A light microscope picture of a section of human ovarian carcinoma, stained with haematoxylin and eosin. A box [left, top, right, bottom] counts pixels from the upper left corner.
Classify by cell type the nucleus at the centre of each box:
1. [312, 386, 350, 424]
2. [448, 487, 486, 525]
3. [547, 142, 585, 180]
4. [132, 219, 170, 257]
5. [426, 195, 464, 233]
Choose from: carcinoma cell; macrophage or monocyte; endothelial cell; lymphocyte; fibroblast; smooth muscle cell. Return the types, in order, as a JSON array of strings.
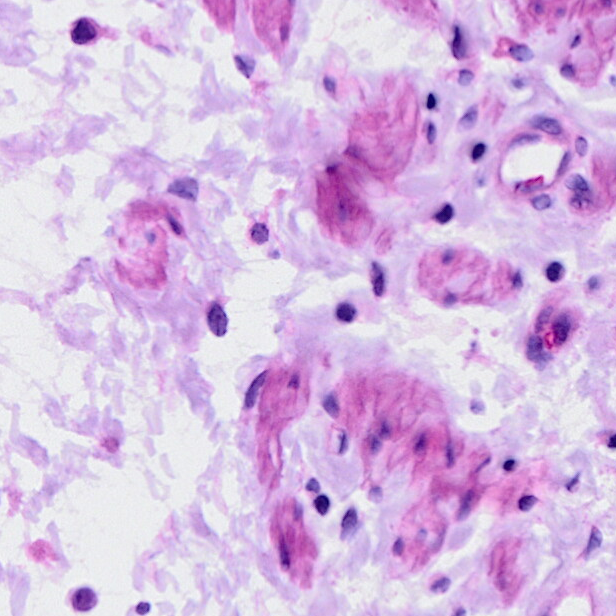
["smooth muscle cell", "smooth muscle cell", "endothelial cell", "smooth muscle cell", "lymphocyte"]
